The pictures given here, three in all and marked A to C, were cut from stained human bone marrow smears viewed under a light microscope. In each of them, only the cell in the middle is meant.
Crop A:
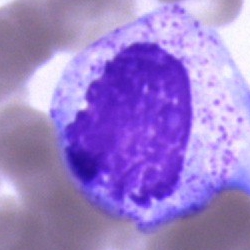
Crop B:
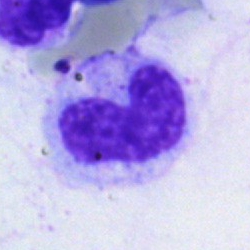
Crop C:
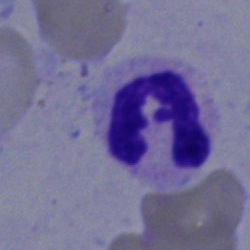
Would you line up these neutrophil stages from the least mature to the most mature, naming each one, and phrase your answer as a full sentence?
The cells, arranged from least to most mature, are crop A (a promyelocyte), crop B (a band neutrophil) and crop C (a segmented neutrophil).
